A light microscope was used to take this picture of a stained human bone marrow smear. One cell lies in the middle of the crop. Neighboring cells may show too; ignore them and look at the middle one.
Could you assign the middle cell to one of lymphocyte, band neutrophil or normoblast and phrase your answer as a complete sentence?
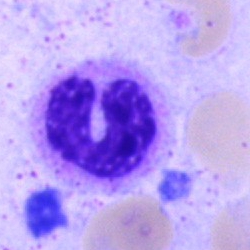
In this smear crop, the middle cell is a band neutrophil.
